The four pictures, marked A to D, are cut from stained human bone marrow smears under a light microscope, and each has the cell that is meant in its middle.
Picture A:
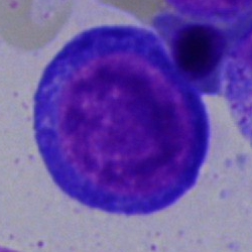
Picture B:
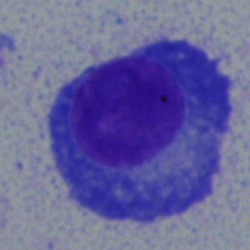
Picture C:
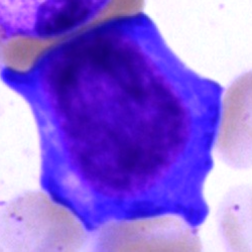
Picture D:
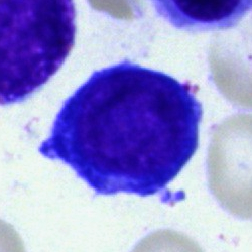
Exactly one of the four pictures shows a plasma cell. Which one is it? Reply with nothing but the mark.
B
